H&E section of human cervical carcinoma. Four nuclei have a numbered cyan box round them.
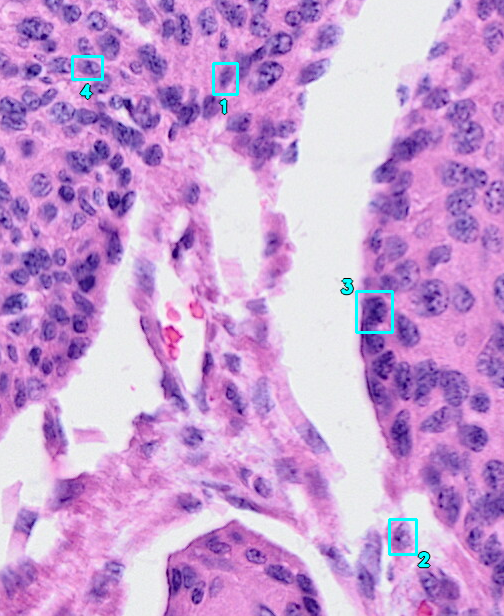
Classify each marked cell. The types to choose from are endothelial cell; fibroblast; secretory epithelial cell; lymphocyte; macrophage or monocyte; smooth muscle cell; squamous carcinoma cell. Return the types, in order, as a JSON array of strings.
["squamous carcinoma cell", "macrophage or monocyte", "squamous carcinoma cell", "squamous carcinoma cell"]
